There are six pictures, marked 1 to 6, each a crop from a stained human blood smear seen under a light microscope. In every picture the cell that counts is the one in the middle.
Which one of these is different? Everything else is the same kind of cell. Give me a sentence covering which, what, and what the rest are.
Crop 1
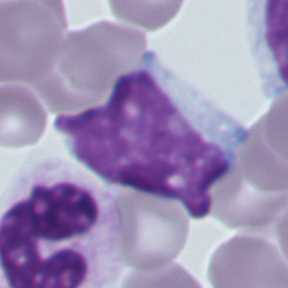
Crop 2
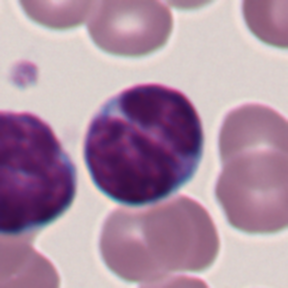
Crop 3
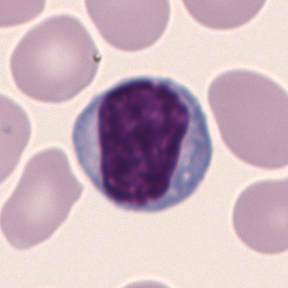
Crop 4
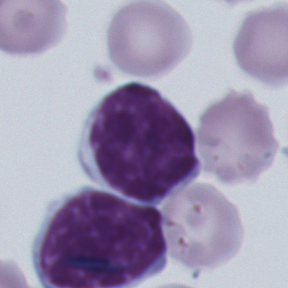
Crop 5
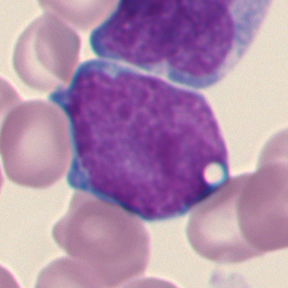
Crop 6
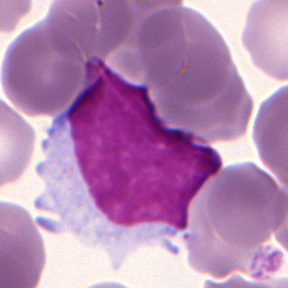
Crop 5 is the one that is a blast, and the other crops all show lymphocytes.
